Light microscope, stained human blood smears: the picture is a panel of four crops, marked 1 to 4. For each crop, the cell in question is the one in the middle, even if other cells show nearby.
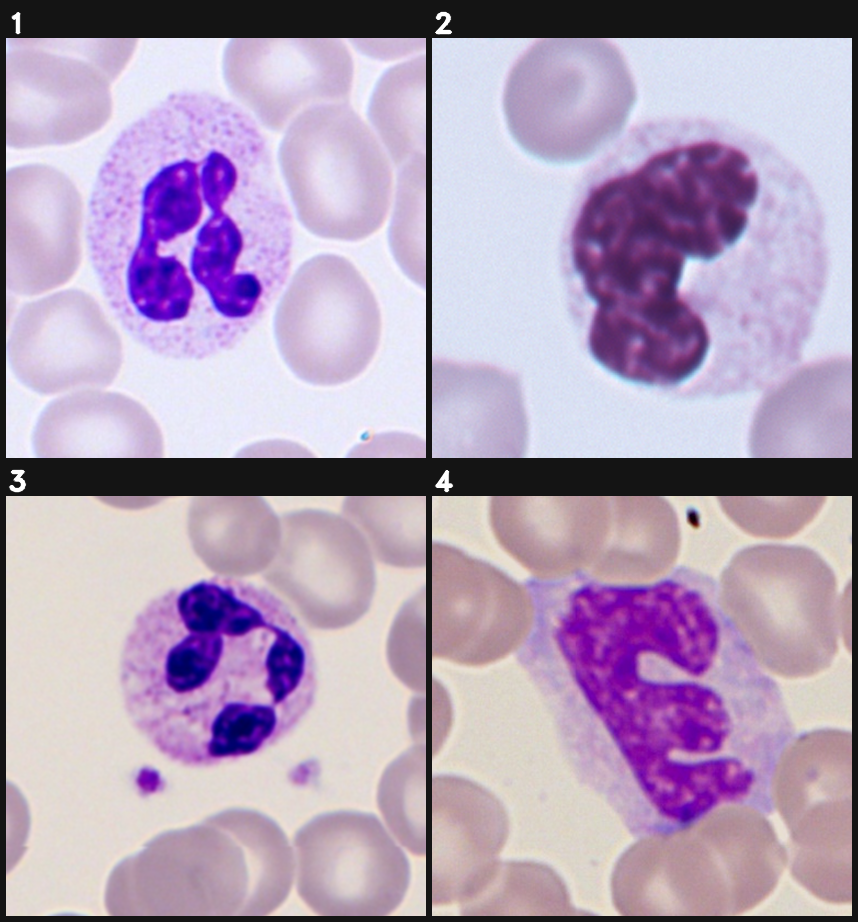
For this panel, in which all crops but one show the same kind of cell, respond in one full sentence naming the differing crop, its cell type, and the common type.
Crop 4, showing a monocyte, is the exception; the others all show segmented neutrophils.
